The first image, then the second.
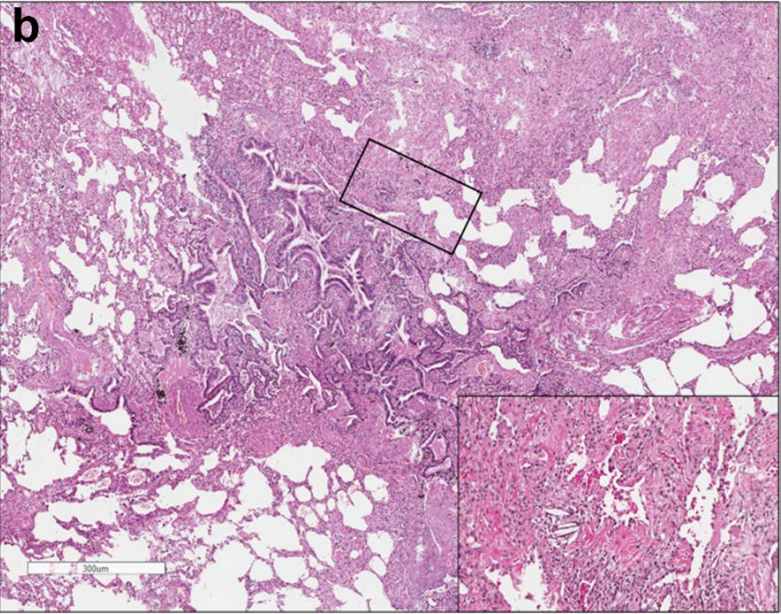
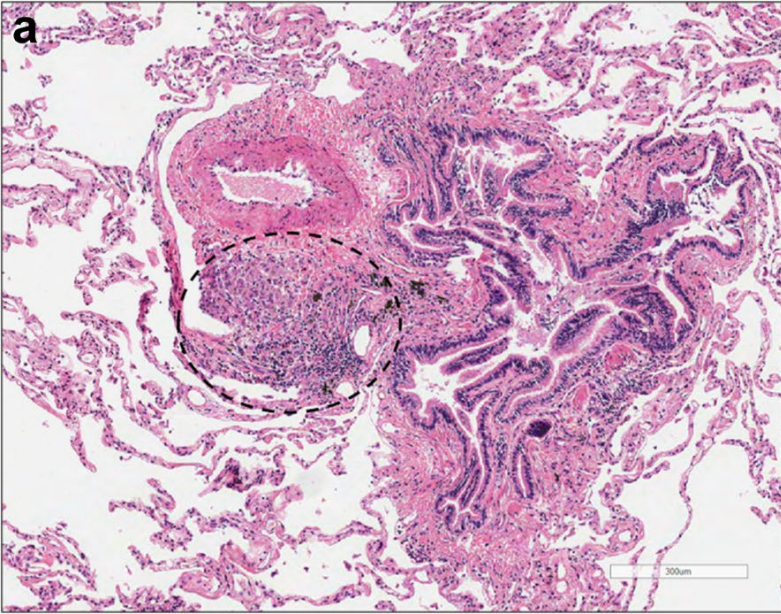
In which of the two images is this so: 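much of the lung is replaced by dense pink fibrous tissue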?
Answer: The first image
